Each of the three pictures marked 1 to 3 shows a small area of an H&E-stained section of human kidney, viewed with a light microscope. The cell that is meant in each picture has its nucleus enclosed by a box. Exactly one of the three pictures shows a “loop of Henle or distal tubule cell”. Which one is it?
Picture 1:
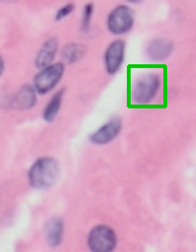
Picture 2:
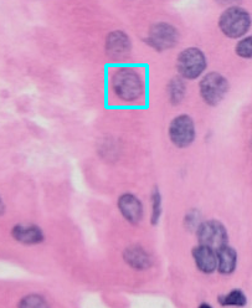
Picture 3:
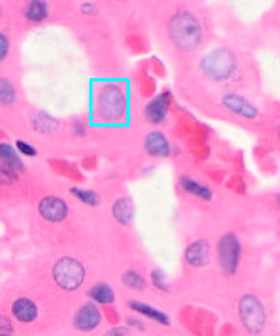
3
